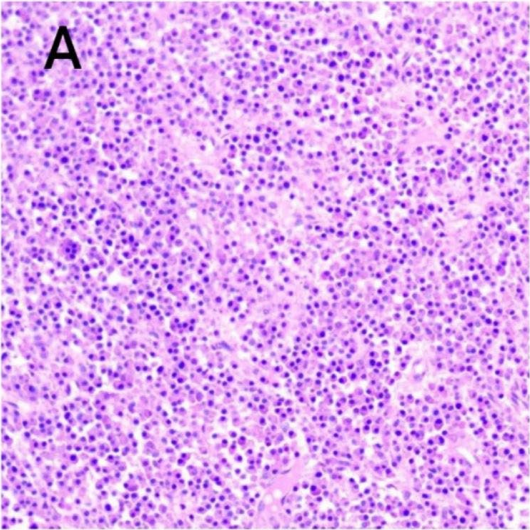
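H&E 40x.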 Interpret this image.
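Sheets of plasma cells fill the field in a diffuse, densely cellular pattern with no normal architecture left. The cells are round to oval, of fairly even size, with round purple nuclei, many placed eccentrically, and a moderate rim of pink cytoplasm. They lie packed side by side, broken only by thin, pale pink strands of delicate stroma running between groups of cells. Few vessels or other cell types are seen between them.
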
